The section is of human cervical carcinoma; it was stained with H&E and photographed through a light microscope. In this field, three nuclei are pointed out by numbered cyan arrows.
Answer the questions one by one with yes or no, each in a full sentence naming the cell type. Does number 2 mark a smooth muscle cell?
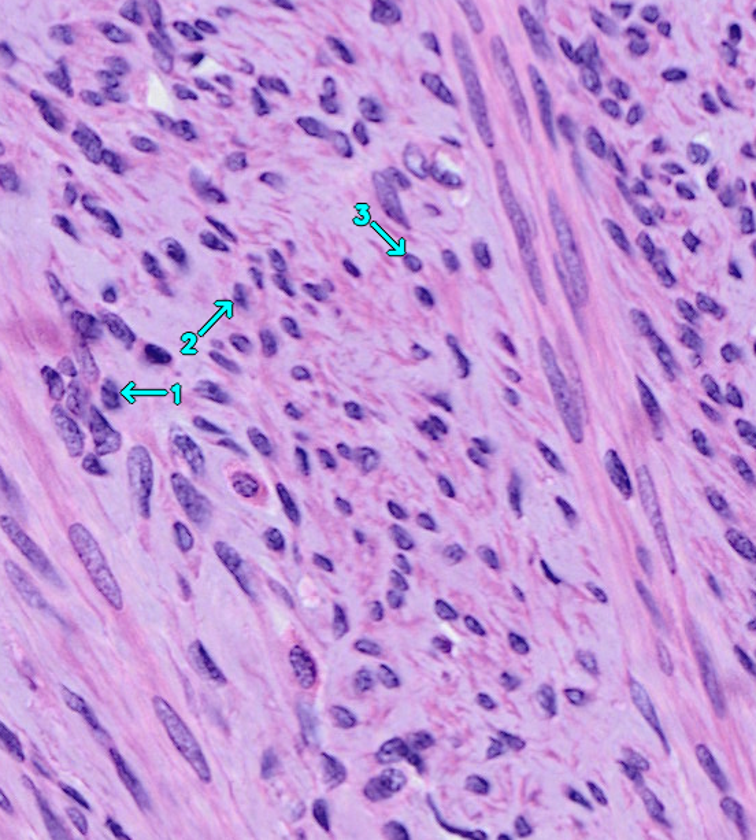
Yes, in the section, number 2 is a smooth muscle cell.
